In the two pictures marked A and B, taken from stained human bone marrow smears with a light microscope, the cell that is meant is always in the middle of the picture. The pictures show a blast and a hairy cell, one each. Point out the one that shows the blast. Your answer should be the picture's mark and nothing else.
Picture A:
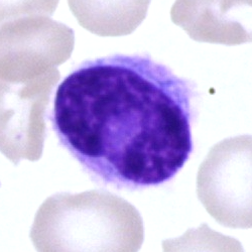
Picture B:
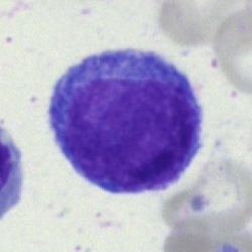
B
